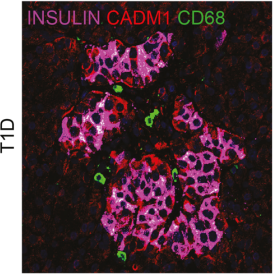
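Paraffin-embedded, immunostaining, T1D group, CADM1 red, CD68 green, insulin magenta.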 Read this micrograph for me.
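A pancreatic islet appears as several irregular clusters of polygonal magenta-filled cells separated by gaps, with red outlining the cell membranes and partly overlapping to white. Several round, bright green cells and smaller green dots lie at the edges of and between the clusters.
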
